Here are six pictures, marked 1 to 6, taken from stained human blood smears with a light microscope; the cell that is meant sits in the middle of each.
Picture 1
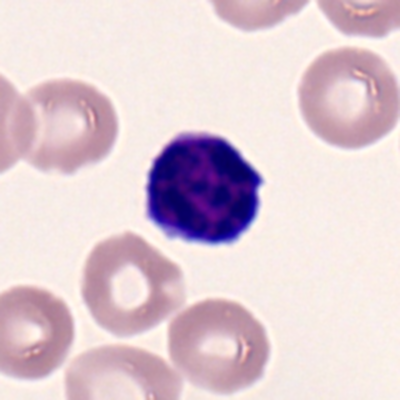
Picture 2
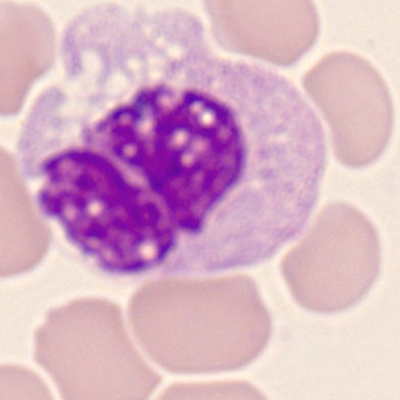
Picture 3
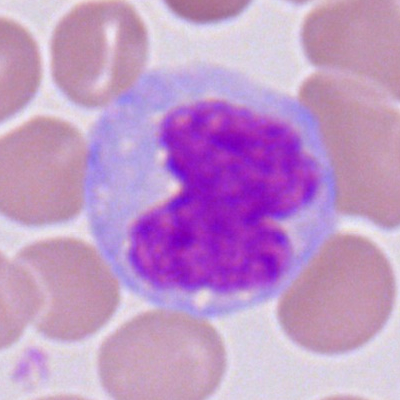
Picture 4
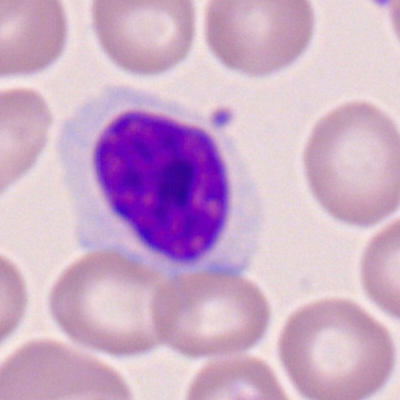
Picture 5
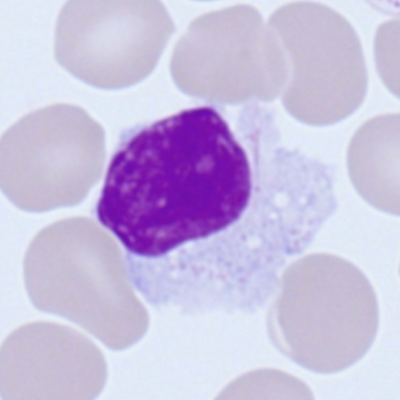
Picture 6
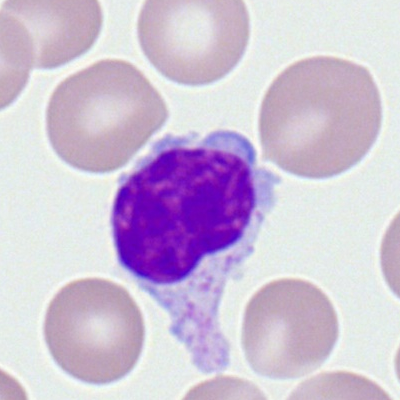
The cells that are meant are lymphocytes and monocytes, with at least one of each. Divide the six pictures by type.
1: lymphocyte
2: monocyte
3: monocyte
4: lymphocyte
5: lymphocyte
6: lymphocyte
